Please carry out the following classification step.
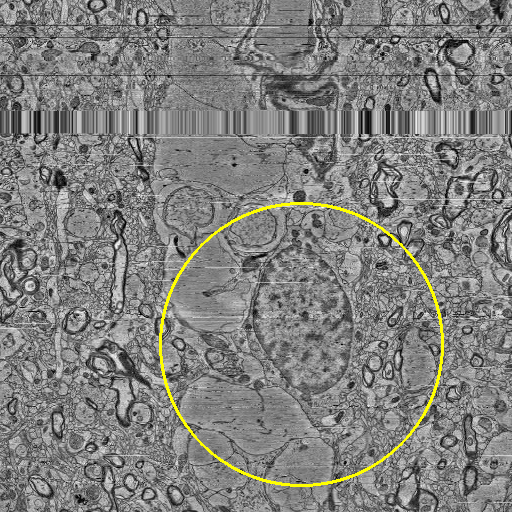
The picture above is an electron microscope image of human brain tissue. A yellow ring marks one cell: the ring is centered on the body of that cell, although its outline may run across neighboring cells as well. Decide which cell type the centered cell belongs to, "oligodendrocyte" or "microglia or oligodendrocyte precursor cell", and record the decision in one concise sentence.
The cell centered in the yellow ring is an oligodendrocyte.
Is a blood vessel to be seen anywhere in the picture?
Yes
